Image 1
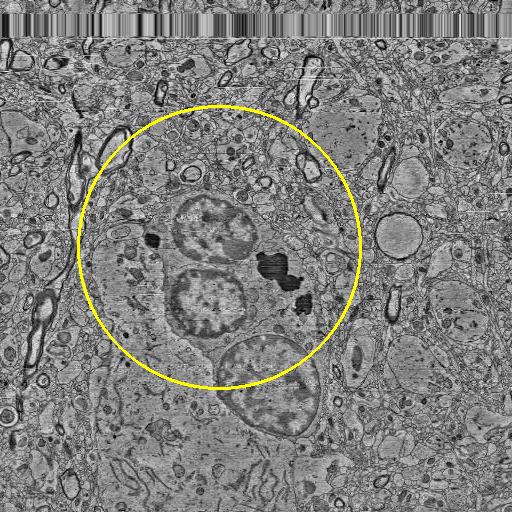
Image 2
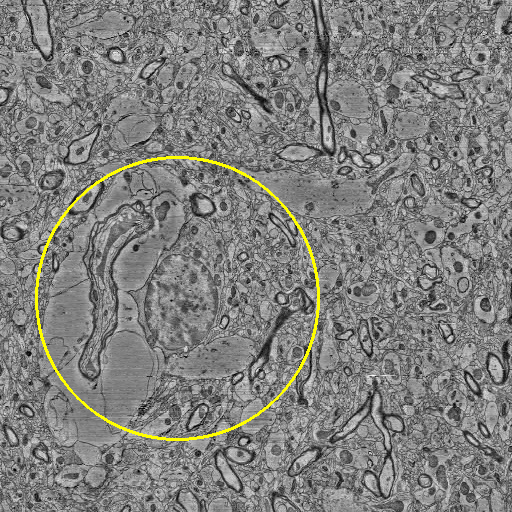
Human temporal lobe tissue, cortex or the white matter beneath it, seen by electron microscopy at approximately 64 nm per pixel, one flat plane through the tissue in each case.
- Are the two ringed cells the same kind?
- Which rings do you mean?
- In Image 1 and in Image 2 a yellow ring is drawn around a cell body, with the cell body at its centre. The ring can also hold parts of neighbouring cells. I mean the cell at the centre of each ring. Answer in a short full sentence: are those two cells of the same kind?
Yes, both cells are of the same kind.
